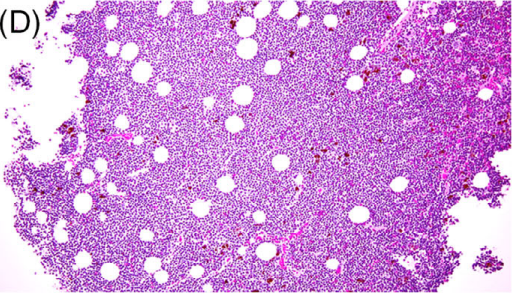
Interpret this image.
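This bone marrow section is densely packed with small round nucleated cells that form continuous sheets. Numerous round, clear, empty-looking fat spaces of varying size are scattered through the cellular tissue, but they occupy only a small part of the area. Small clusters of brown granular material lie among the cells, especially near the edges.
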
